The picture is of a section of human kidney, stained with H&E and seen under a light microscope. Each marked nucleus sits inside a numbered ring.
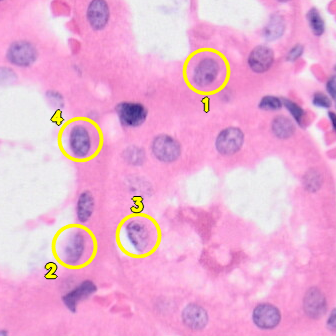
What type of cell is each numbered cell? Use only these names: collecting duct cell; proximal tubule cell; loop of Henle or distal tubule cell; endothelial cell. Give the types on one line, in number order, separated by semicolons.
proximal tubule cell; loop of Henle or distal tubule cell; proximal tubule cell; loop of Henle or distal tubule cell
